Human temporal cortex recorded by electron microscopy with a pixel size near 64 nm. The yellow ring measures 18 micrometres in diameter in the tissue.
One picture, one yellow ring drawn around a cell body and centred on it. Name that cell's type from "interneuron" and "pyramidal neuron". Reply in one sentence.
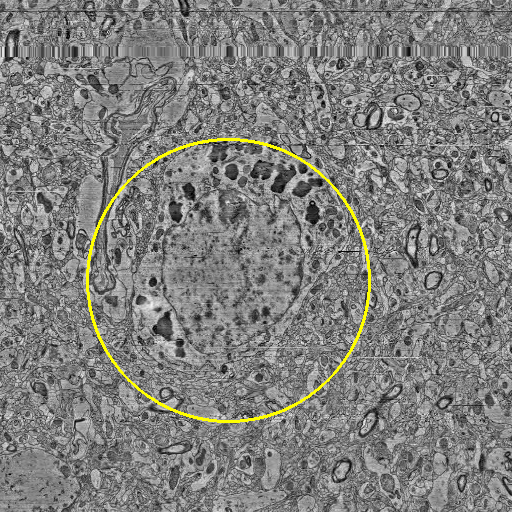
Centred in the ring is an interneuron.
